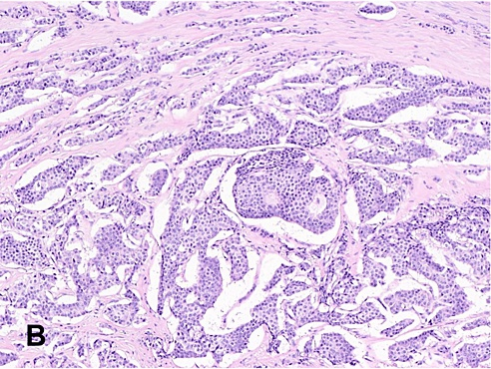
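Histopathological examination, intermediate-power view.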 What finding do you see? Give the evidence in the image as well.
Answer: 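Cells form solid nests separated by thin pink stroma. Small gland-like spaces and clefts lie among the cell groups. On this evidence: nests, cribriform, microglandular patterns.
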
